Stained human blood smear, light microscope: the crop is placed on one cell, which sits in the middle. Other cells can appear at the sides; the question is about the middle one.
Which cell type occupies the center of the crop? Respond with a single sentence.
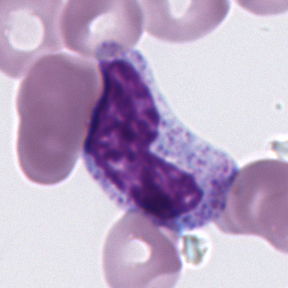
The central element of this crop is a cell, namely a metamyelocyte.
